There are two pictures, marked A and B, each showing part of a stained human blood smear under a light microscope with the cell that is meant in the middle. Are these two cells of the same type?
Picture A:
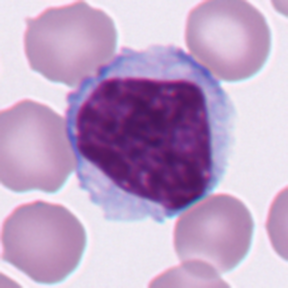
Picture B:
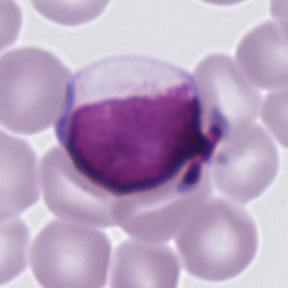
no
